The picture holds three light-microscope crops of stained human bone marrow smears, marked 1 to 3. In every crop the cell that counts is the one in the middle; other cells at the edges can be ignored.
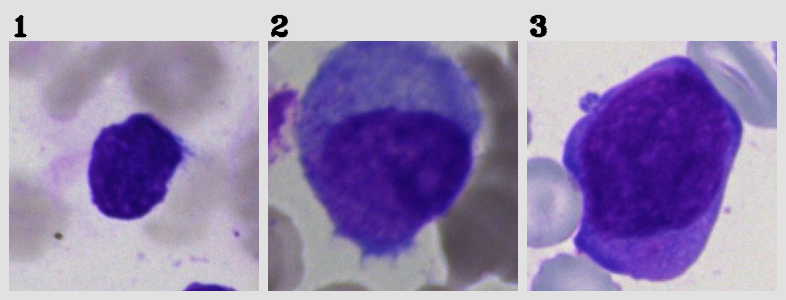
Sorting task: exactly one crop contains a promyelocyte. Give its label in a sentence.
So the crop with a promyelocyte at its center is crop 2.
